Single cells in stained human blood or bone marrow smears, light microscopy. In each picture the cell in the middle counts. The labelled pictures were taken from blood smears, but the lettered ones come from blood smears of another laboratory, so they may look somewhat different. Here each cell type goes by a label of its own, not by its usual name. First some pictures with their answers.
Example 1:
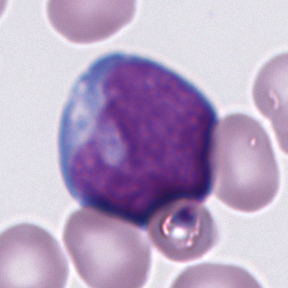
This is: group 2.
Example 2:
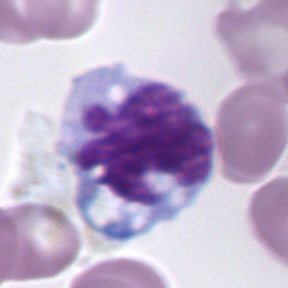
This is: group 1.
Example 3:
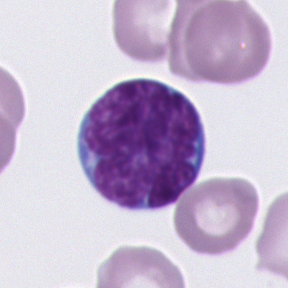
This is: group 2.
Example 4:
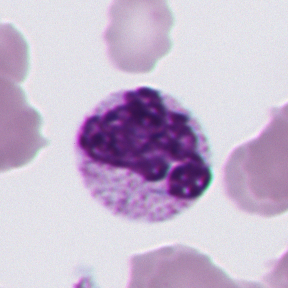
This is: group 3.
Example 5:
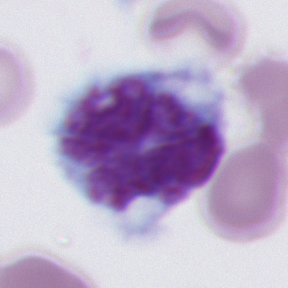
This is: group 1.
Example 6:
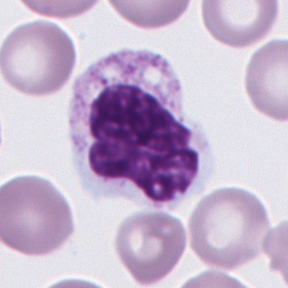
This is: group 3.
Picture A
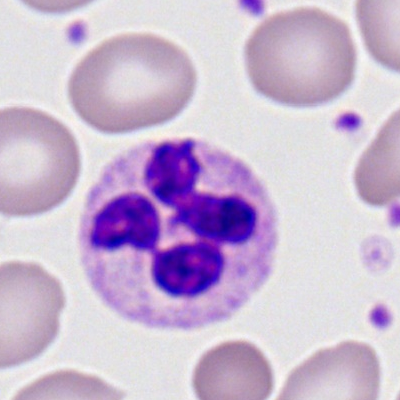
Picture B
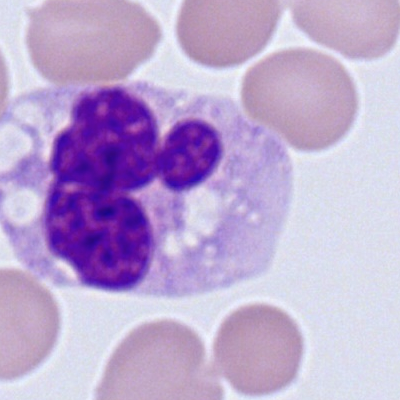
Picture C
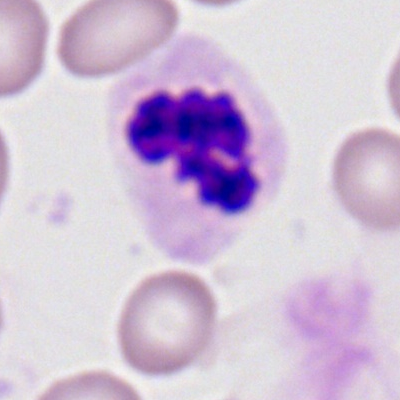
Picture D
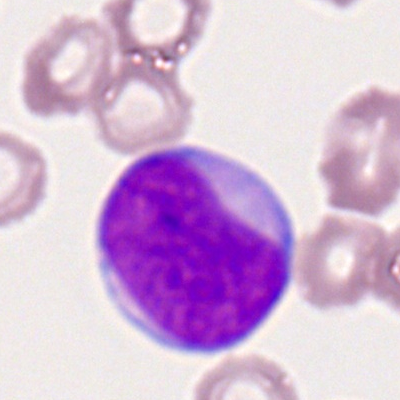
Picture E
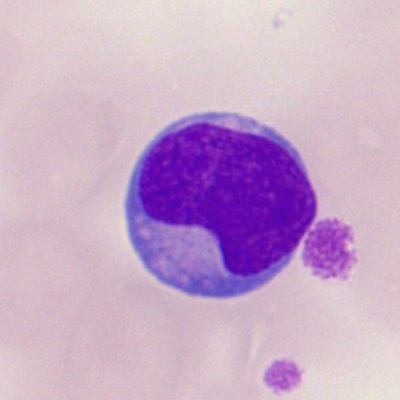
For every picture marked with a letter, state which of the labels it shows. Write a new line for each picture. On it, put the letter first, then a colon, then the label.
A: group 3.
B: group 1.
C: group 3.
D: group 2.
E: group 2.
